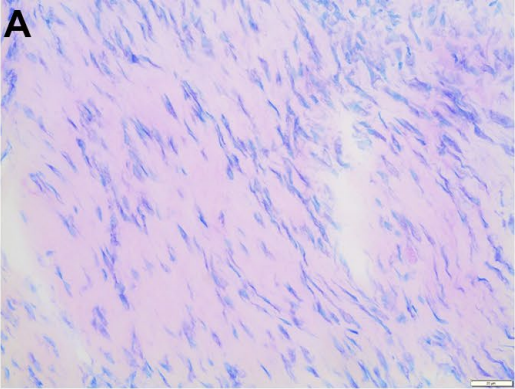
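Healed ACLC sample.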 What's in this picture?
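This is dense ligament tissue in which spindle-shaped fibroblast-like cells lie scattered through a pale pink fibrous matrix. Their nuclei stain blue, are slender and elongated, often slightly wavy, and point mostly in one shared direction, so the cells form loose parallel rows along the tissue. Little cytoplasm can be made out around each nucleus; the pink matrix between them looks fibrous and fills most of the field. A few paler, cell-poor streaks cross the field.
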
